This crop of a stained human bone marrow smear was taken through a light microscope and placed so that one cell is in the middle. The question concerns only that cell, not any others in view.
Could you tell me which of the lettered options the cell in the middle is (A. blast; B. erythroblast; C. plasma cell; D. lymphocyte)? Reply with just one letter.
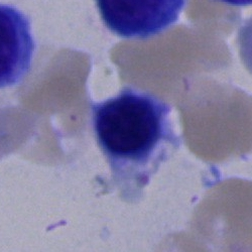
B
